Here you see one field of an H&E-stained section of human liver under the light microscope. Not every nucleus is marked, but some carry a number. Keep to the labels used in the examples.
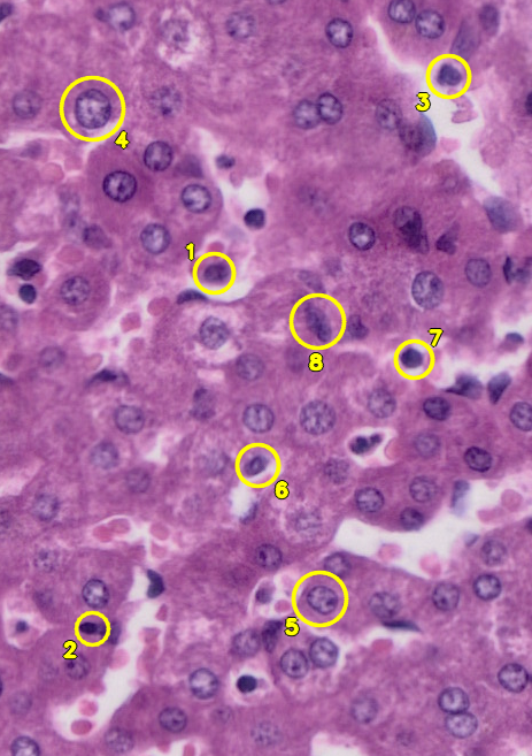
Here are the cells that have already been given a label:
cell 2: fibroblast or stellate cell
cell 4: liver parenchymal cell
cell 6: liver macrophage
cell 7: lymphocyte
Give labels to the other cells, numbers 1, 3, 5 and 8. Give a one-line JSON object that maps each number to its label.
{"1": "liver macrophage", "3": "lymphocyte", "5": "liver parenchymal cell", "8": "fibroblast or stellate cell"}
